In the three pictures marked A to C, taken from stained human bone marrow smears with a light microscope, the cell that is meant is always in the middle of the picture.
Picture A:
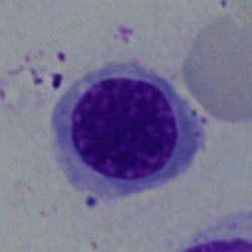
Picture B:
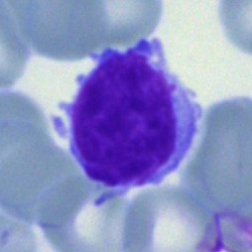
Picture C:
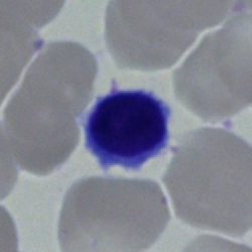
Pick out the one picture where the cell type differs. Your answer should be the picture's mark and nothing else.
A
